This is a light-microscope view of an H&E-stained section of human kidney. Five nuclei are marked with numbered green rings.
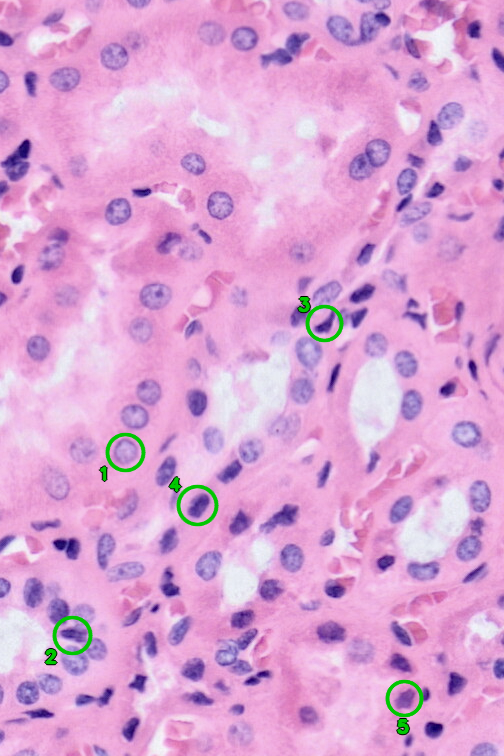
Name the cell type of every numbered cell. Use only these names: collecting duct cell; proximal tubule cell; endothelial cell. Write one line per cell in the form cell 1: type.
cell 1: proximal tubule cell
cell 2: collecting duct cell
cell 3: collecting duct cell
cell 4: collecting duct cell
cell 5: proximal tubule cell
